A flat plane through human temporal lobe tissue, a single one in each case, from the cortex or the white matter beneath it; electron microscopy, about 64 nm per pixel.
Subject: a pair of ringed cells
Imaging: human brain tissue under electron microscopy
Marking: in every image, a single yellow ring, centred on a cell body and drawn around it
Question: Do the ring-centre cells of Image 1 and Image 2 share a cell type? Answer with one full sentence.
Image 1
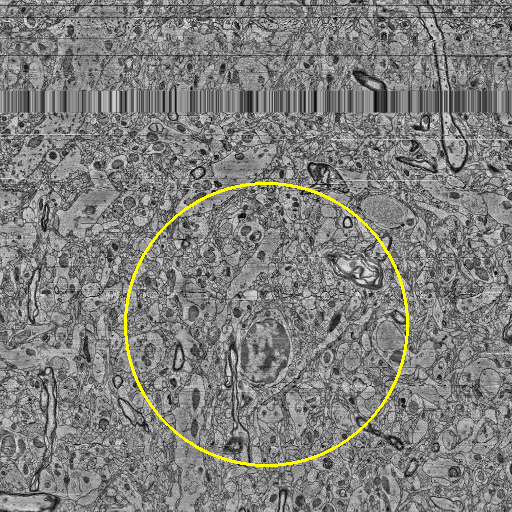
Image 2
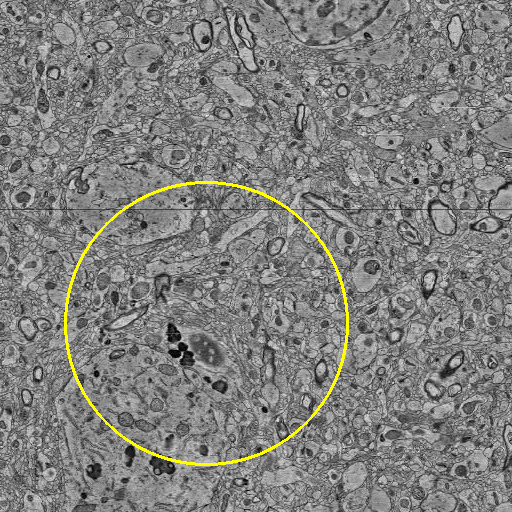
Yes, at each ring's centre in the images sits a cell of one common type.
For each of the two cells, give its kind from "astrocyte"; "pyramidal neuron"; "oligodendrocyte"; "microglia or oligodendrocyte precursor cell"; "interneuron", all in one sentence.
Both the first and the second picture show a microglial cell or oligodendrocyte precursor cell in the ring.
